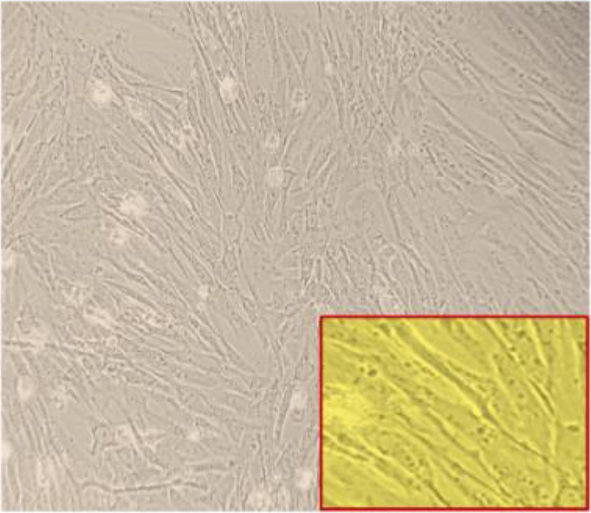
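This is an unstained culture of fibroblasts seen in bright field, forming a largely confluent layer. The cells are elongated and spindle-shaped, gathered into bundles that run in swirling, crossing streams. A few pale rounded spots are scattered over the sheet. The enlarged inset shows long cells lying close together in parallel.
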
